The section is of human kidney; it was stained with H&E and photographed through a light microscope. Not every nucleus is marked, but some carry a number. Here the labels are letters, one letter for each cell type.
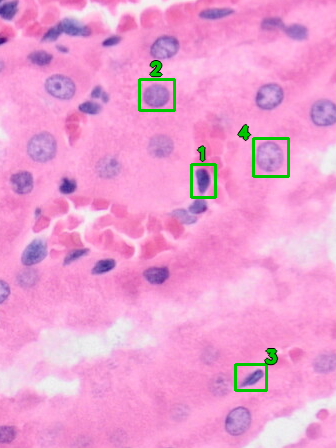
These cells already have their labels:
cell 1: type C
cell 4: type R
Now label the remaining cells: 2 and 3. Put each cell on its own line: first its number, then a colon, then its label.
2: type R
3: type C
